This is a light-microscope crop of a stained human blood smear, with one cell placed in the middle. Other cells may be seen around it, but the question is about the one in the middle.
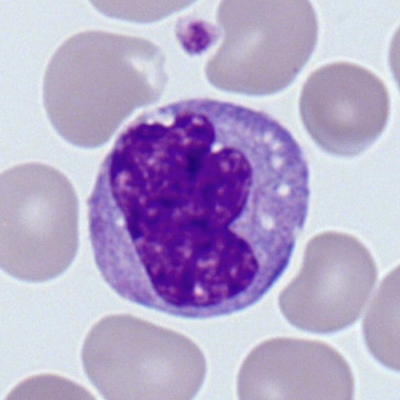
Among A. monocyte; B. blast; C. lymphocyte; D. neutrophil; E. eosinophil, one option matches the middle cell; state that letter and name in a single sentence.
That cell in the center is a monocyte, hence option A.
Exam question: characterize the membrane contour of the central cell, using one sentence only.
Thanks for asking; the cell edge is smooth and has no projections.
